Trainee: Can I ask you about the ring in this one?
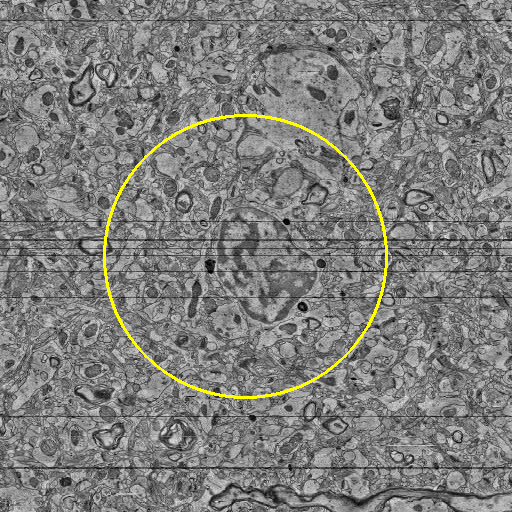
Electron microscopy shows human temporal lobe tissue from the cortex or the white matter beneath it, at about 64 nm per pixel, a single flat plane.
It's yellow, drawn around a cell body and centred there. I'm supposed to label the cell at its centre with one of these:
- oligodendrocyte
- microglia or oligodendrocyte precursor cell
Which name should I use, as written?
microglia or oligodendrocyte precursor cell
